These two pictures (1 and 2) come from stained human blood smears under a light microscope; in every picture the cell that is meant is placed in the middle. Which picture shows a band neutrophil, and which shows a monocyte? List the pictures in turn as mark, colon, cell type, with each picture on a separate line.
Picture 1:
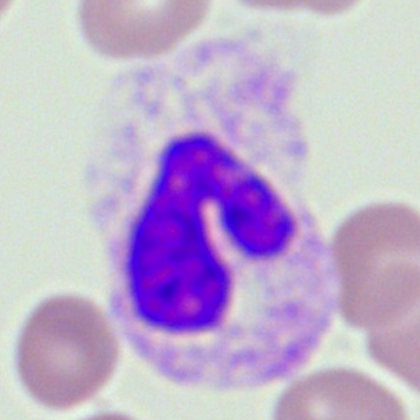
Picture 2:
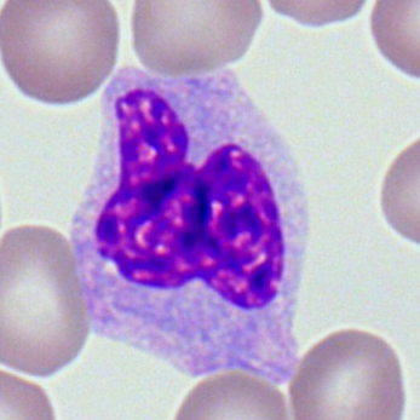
1: band neutrophil
2: monocyte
